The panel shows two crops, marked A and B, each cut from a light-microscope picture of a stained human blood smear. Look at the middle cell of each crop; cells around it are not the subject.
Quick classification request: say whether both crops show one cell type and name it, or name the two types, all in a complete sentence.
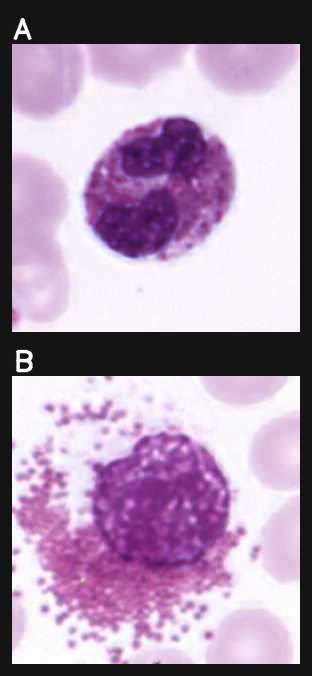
Yes, the central cells in both crops are eosinophils.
